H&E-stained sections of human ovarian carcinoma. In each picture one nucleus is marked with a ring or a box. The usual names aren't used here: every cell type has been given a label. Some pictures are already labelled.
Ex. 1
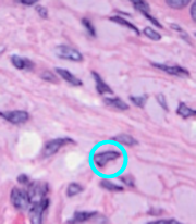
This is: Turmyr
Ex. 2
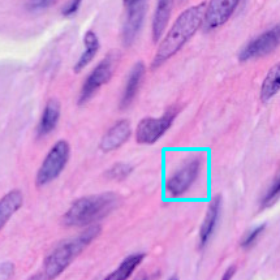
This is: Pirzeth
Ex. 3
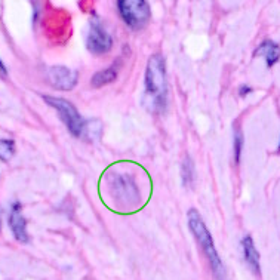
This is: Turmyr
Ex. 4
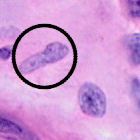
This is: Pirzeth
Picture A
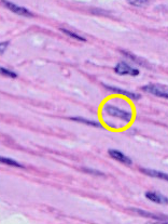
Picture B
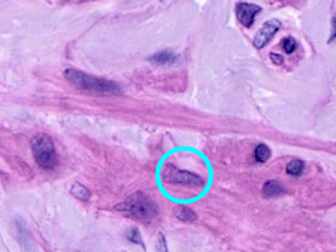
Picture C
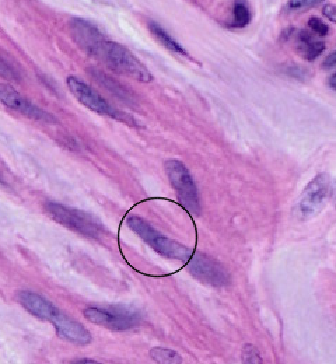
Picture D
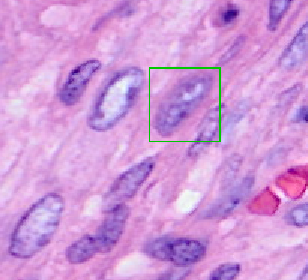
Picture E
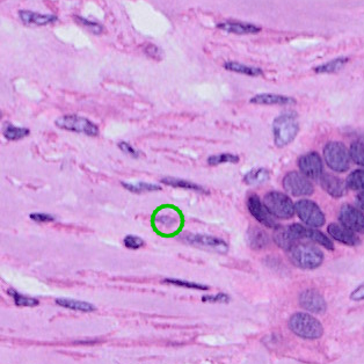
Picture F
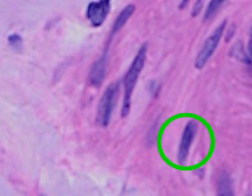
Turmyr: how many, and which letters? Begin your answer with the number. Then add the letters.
3: A, D, E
